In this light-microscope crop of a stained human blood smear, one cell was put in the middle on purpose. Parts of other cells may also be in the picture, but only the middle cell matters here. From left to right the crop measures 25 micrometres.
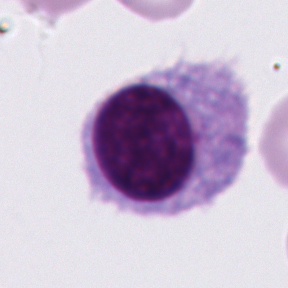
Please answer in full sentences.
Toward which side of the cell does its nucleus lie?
The nucleus is pushed toward the left of the cell.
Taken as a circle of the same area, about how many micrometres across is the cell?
About 14 micrometres: that is the cell's diameter.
